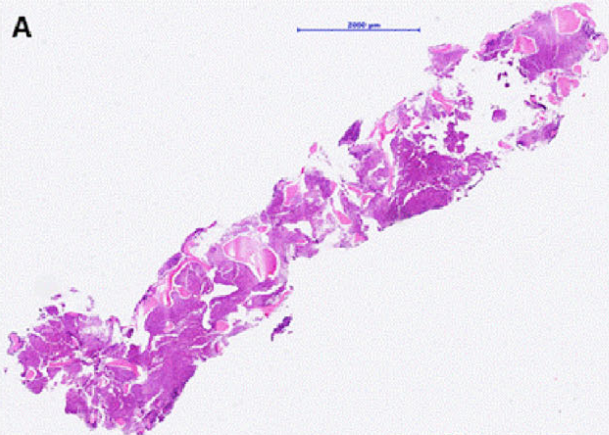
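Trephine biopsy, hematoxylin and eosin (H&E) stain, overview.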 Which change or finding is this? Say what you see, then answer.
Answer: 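Dense purple cellular tissue fills most of the core. On this evidence: hypercellular bone marrow.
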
